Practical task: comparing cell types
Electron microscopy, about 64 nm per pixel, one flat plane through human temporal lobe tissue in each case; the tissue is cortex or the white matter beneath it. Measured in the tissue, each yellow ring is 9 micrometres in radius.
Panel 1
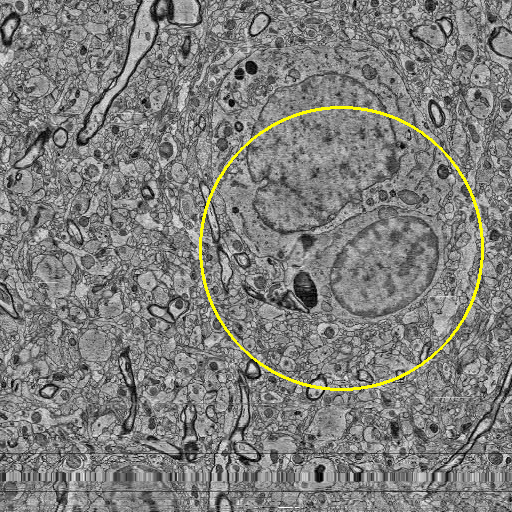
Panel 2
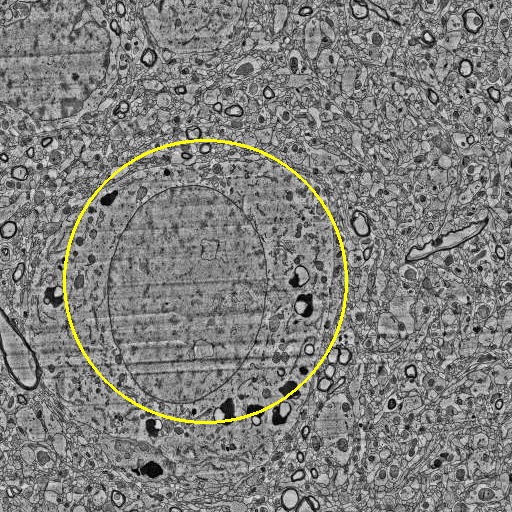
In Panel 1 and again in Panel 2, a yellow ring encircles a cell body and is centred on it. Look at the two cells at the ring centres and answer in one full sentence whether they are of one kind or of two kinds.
The two cells sitting at the ring centres of Panels 1 and 2 are of two kinds.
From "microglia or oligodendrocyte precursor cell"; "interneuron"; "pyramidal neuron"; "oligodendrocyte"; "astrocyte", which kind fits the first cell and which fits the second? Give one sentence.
The cell marked in the first picture is an oligodendrocyte, and the one marked in the second is a pyramidal neuron.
